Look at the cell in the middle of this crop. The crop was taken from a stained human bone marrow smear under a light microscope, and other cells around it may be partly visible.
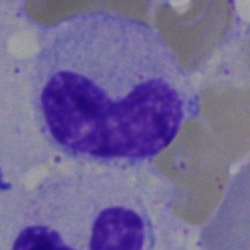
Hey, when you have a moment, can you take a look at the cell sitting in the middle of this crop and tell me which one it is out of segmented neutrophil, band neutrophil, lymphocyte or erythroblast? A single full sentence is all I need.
Here the centrally located cell is a band neutrophil.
